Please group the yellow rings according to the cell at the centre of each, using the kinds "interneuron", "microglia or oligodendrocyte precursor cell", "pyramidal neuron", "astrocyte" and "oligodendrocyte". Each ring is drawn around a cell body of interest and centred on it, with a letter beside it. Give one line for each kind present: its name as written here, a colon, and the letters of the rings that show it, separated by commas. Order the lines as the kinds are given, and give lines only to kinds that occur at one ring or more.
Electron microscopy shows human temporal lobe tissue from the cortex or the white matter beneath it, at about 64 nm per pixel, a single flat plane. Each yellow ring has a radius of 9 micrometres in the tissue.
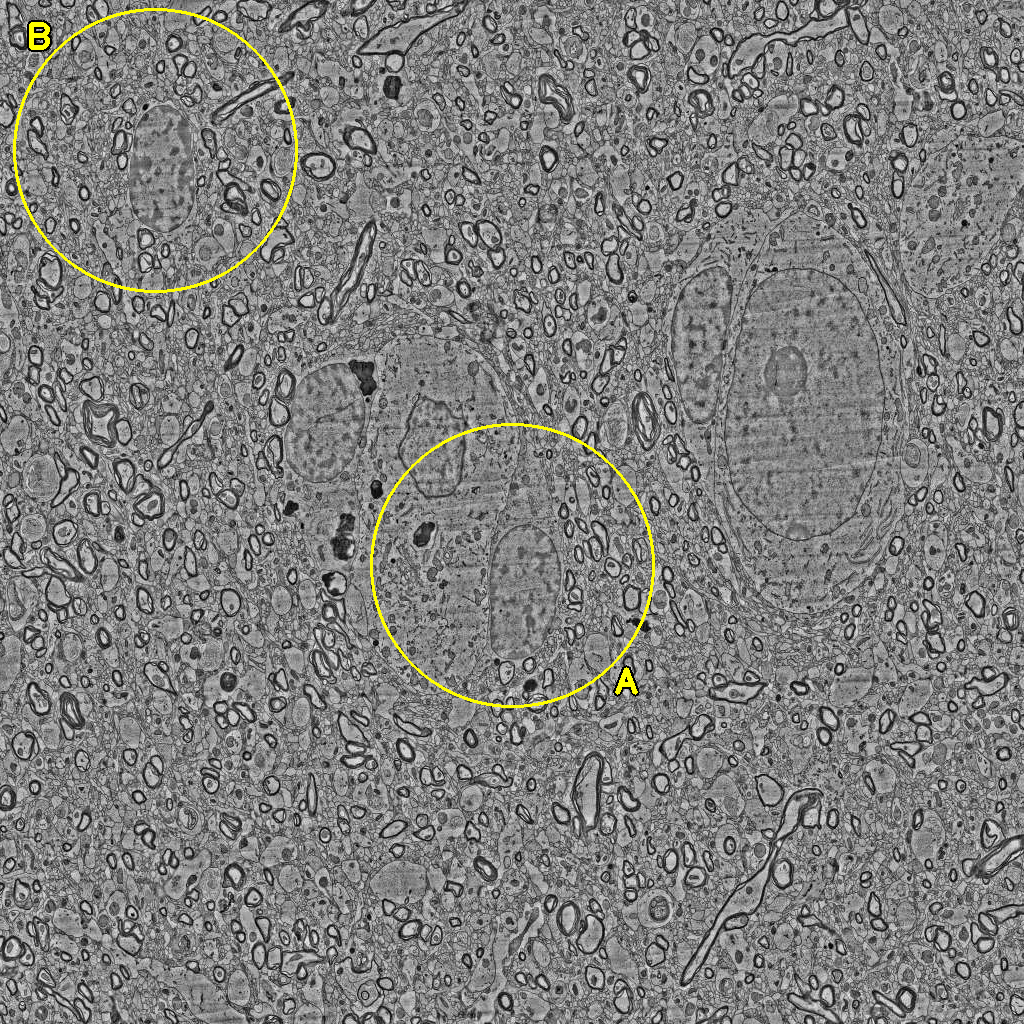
microglia or oligodendrocyte precursor cell: B
oligodendrocyte: A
